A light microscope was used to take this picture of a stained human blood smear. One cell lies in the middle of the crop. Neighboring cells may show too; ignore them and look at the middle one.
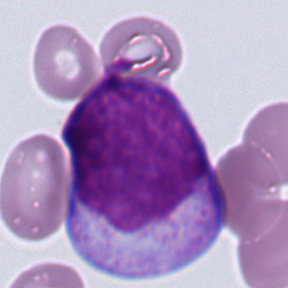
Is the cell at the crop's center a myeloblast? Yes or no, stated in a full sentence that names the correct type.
No, wrong label: the middle cell is an atypical promyelocyte instead of a myeloblast.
